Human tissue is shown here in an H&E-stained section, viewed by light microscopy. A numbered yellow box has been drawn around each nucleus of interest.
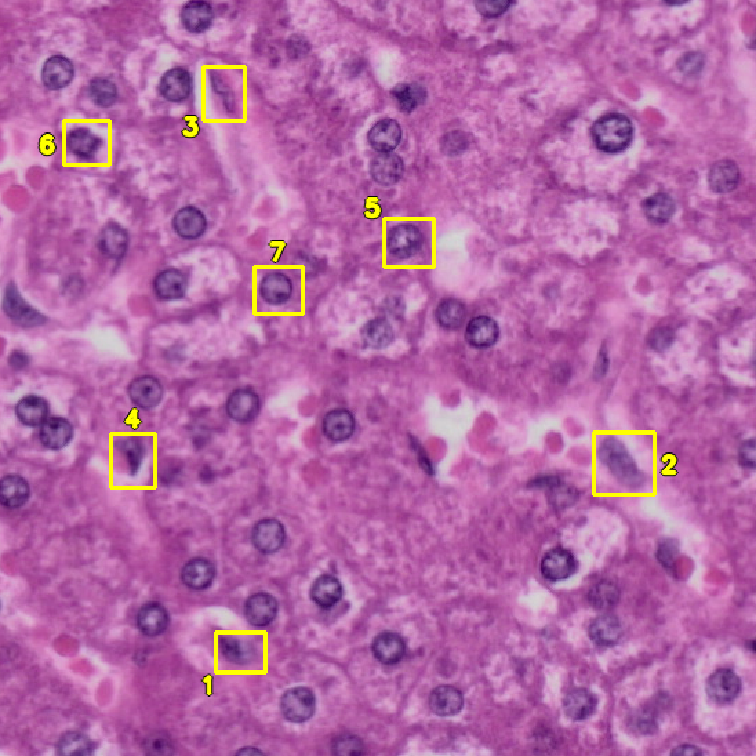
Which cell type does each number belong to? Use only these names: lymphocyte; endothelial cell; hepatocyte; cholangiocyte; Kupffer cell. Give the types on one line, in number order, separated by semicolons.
Kupffer cell; Kupffer cell; Kupffer cell; endothelial cell; hepatocyte; hepatocyte; hepatocyte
